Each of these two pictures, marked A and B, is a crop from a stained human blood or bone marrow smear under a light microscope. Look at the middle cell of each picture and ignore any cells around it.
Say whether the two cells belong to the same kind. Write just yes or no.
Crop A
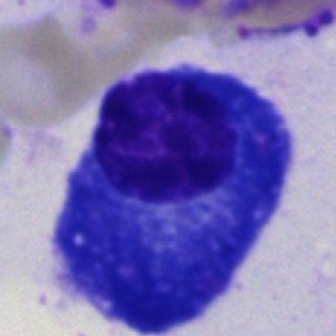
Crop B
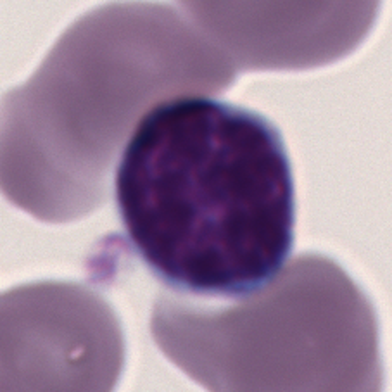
no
